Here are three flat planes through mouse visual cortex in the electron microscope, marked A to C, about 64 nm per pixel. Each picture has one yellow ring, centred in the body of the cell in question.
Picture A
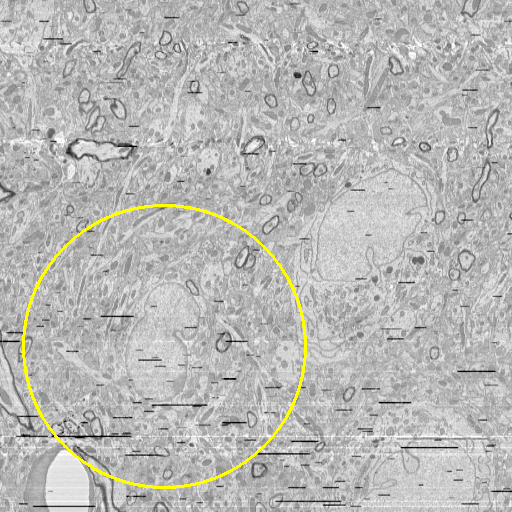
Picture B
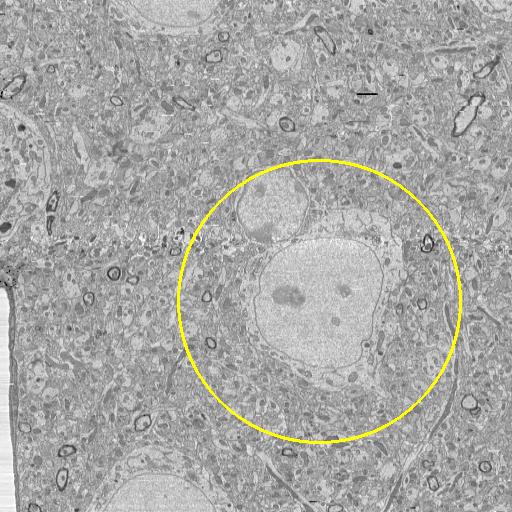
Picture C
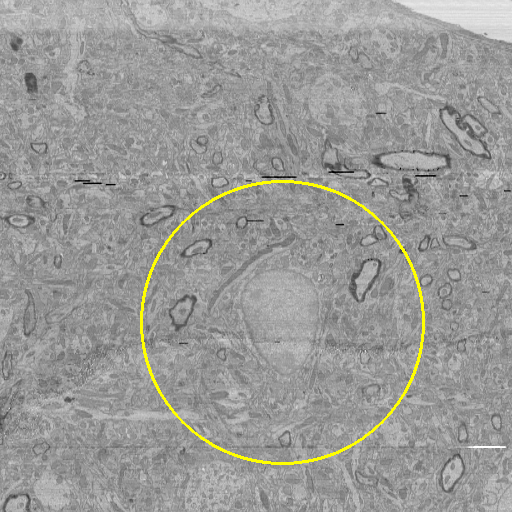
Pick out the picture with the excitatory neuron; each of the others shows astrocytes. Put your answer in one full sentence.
Picture B shows the excitatory neuron.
